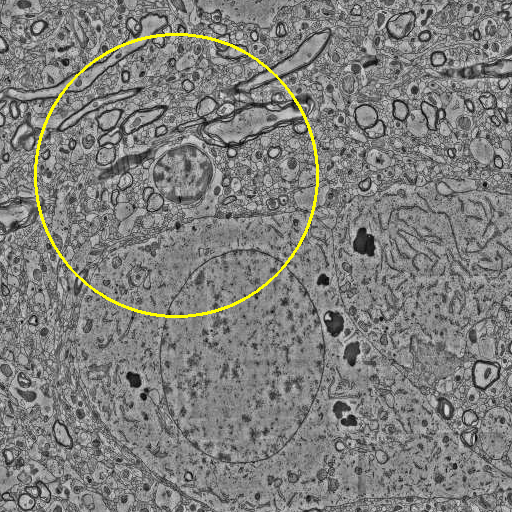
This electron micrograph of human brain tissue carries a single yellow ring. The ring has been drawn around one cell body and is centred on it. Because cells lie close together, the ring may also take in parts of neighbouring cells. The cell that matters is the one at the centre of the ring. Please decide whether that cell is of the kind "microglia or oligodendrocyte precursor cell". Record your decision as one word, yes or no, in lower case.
yes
